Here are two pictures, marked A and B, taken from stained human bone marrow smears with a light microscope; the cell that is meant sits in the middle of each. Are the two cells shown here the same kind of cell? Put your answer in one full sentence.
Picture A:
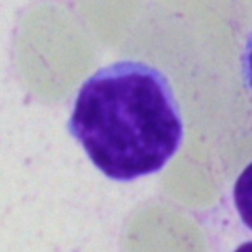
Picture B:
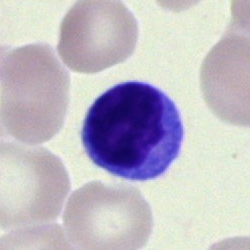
Yes; the cells in both pictures are lymphocytes.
